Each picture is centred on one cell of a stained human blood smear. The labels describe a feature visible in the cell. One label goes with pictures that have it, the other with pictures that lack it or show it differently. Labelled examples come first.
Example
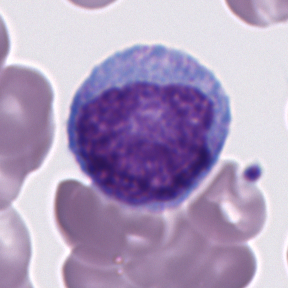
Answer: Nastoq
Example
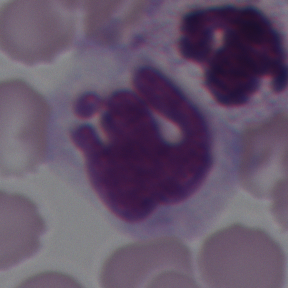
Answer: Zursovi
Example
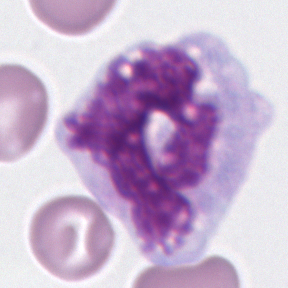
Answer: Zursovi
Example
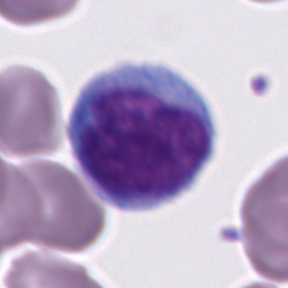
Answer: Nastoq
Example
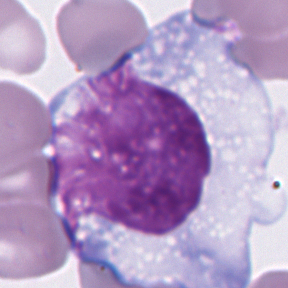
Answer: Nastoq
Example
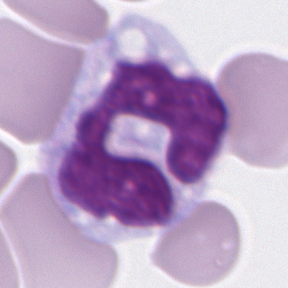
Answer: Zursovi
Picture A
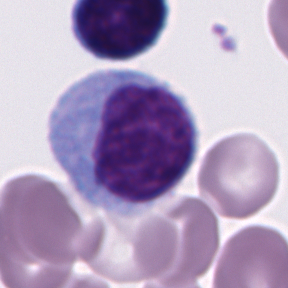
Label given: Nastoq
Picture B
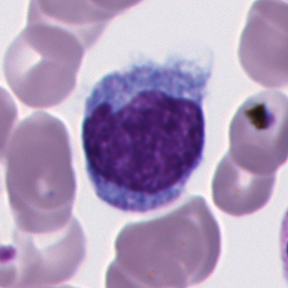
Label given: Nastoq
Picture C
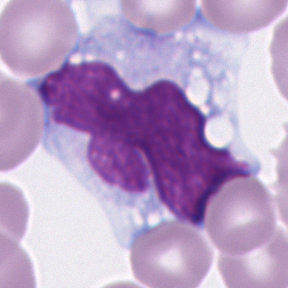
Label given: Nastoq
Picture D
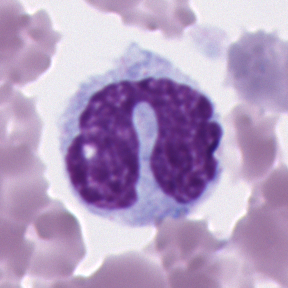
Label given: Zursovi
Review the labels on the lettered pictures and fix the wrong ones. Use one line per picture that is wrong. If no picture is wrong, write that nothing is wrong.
C is labelled Nastoq; correct label: Zursovi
